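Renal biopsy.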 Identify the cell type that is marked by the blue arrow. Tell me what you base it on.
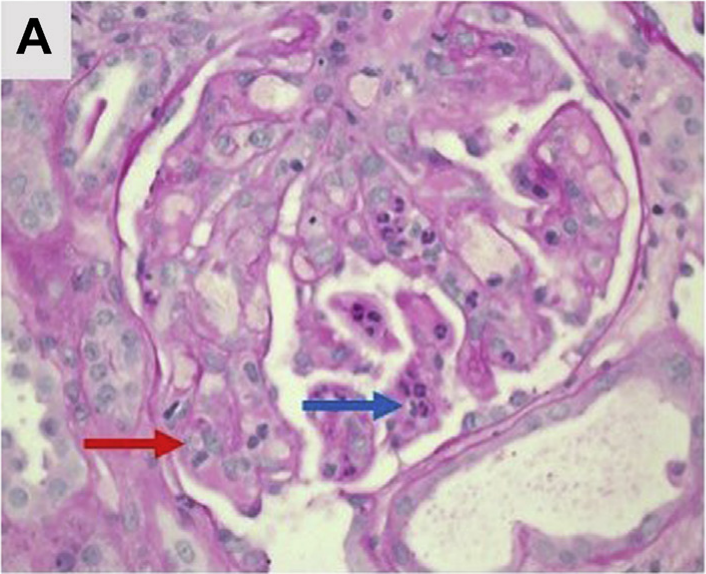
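Small cells with dark, segmented nuclei cluster inside a capillary loop. They lie within the glomerular tuft, inside the loop's outline. On this evidence: acute inflammatory cells.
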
